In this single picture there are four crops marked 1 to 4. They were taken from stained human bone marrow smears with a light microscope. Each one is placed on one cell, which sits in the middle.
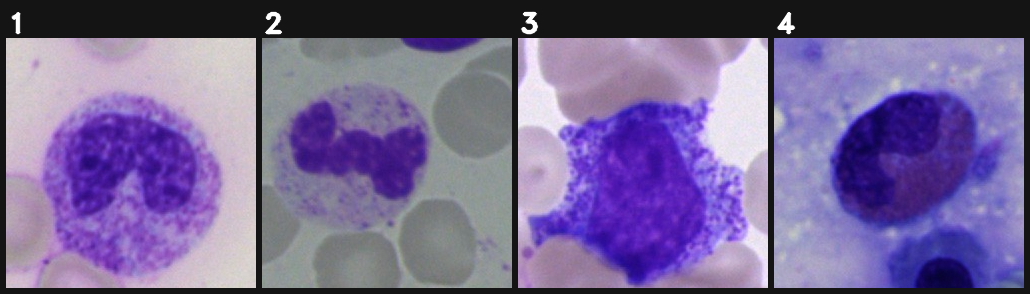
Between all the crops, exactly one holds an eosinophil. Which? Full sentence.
Of the labeled crops, the one with an eosinophil is crop 4.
